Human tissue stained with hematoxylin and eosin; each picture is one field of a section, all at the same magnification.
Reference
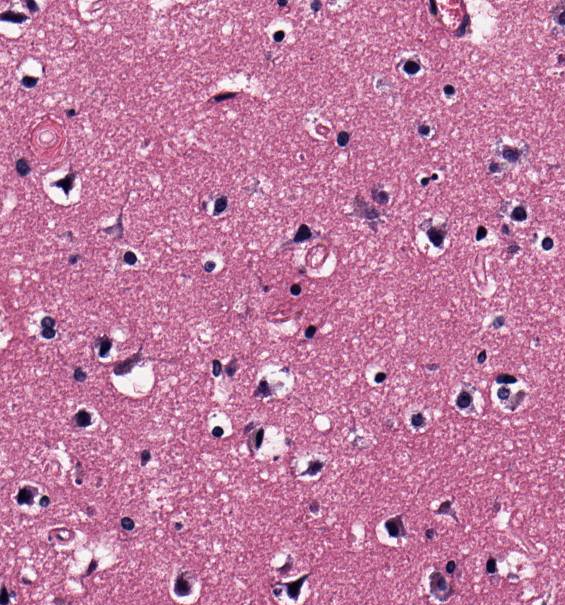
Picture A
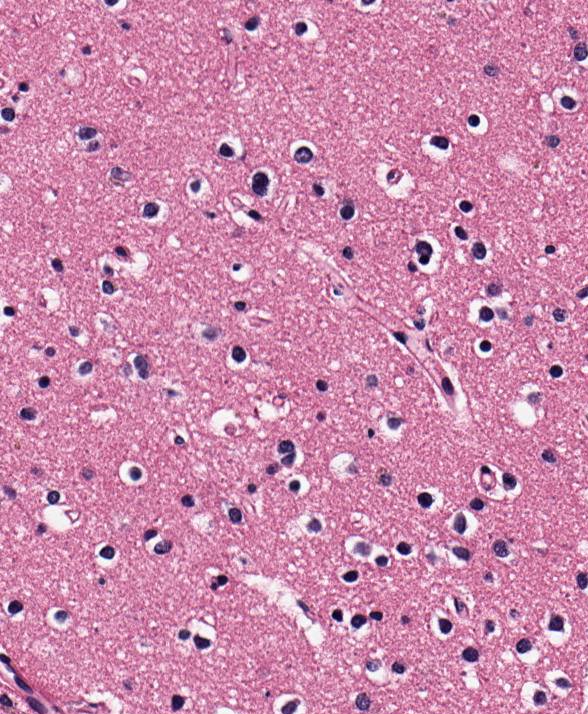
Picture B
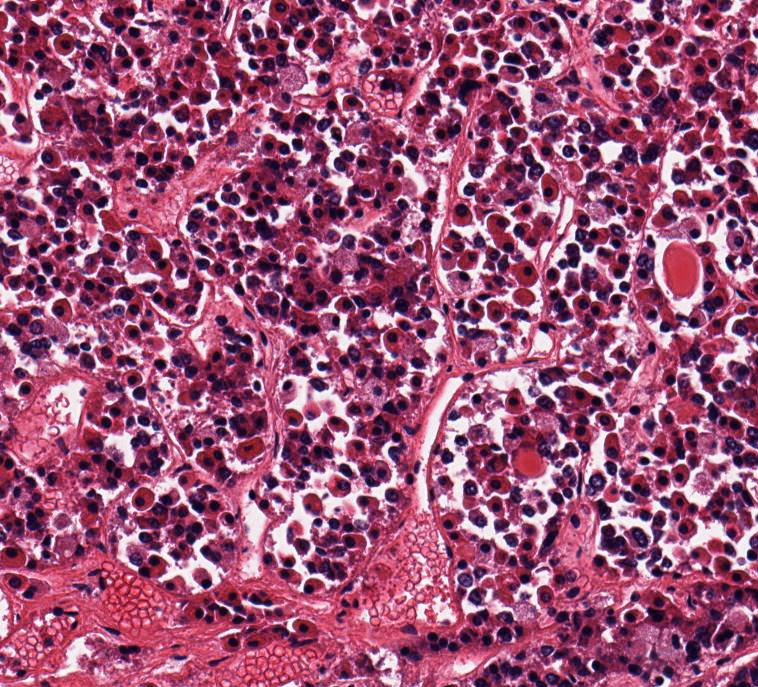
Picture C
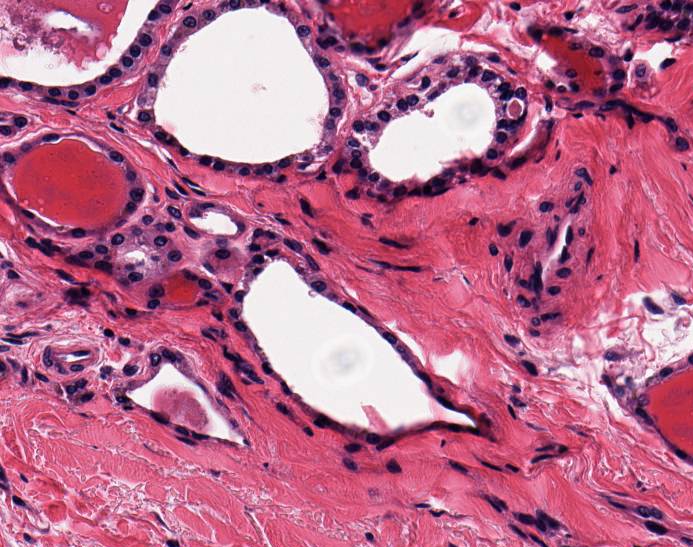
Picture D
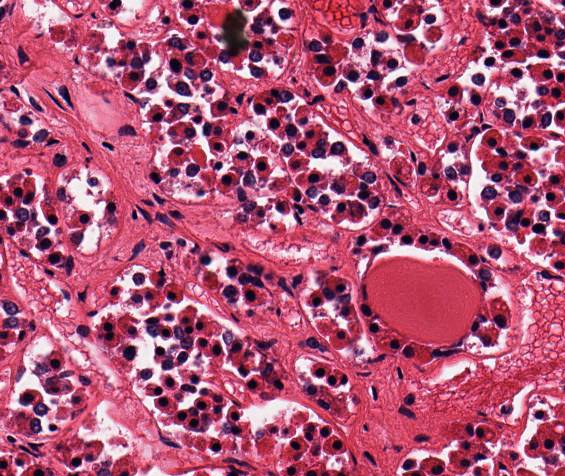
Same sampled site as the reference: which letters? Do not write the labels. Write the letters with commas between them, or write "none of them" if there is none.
A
